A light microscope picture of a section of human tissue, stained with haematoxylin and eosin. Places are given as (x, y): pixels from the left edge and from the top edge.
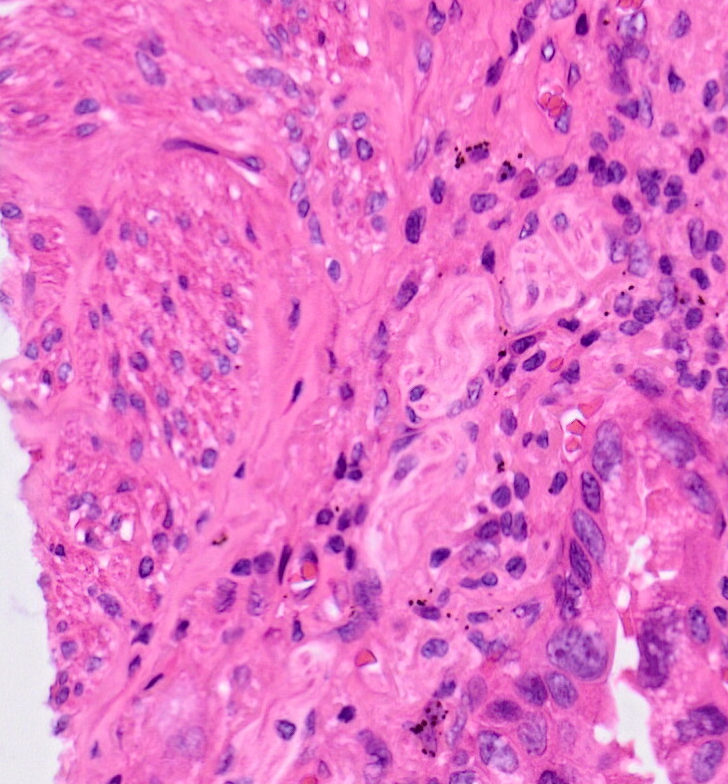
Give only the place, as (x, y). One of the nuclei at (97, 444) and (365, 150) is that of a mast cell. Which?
(365, 150)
